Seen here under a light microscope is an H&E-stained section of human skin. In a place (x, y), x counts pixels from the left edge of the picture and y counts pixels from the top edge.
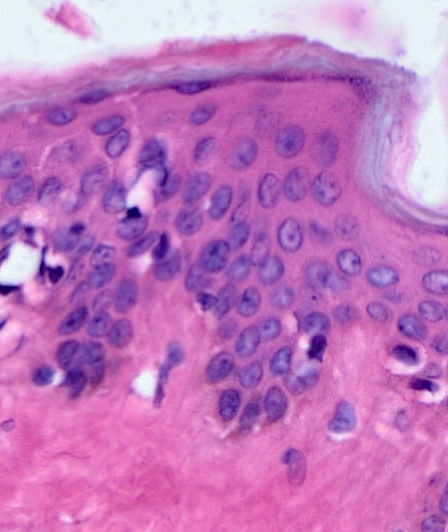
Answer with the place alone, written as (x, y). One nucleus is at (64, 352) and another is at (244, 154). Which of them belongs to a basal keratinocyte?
(64, 352)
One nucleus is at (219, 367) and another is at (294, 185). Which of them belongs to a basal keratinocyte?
(219, 367)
